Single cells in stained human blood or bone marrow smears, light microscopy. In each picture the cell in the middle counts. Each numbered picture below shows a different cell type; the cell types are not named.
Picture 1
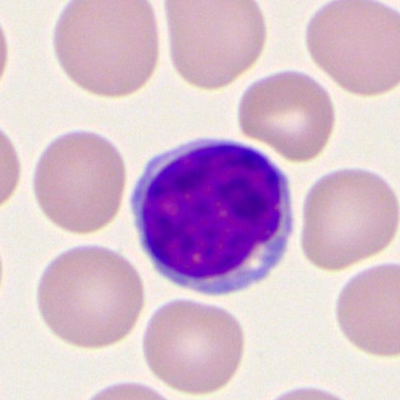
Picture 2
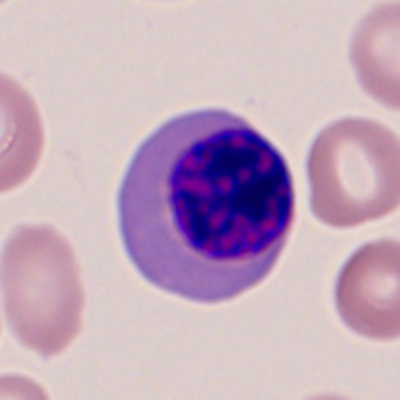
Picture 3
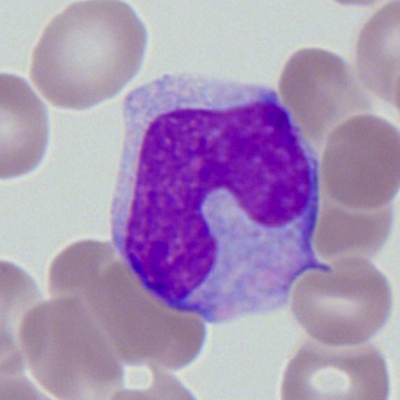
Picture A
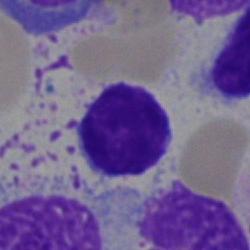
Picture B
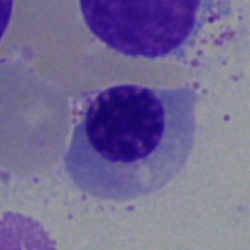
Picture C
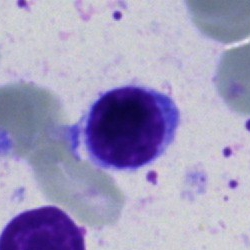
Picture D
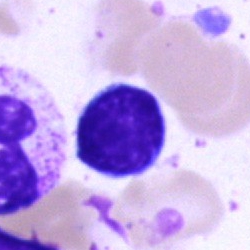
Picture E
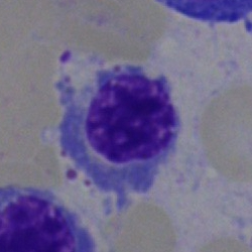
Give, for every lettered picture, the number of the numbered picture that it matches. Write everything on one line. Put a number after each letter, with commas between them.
A 1, B 2, C 1, D 1, E 2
